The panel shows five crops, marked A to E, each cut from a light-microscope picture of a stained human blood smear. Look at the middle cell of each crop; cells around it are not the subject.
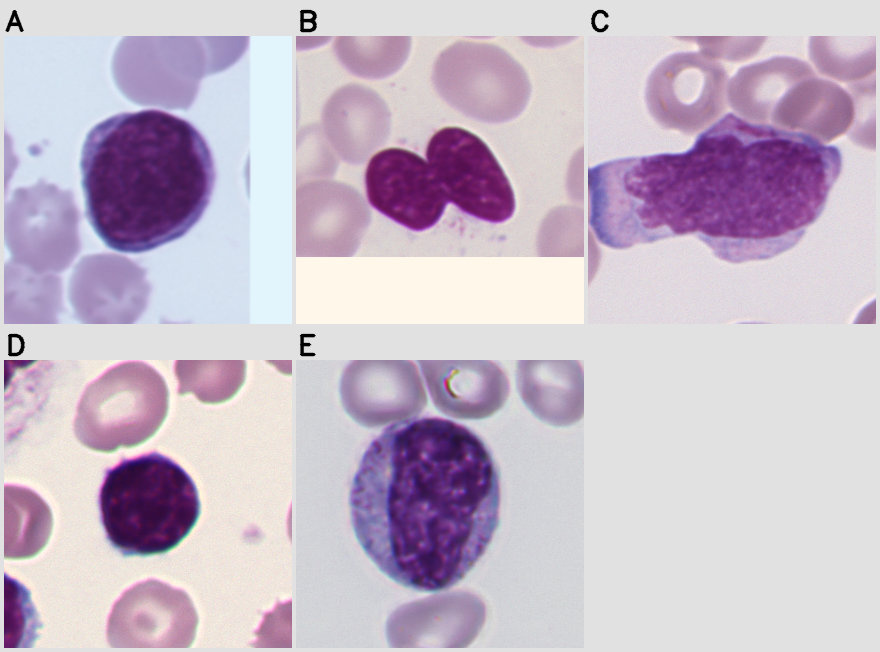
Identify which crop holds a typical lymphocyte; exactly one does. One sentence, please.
As for which crop shows a typical lymphocyte, it is crop D.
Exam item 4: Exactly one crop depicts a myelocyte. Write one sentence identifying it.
Among all the crops given here, the one with a myelocyte is crop E.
